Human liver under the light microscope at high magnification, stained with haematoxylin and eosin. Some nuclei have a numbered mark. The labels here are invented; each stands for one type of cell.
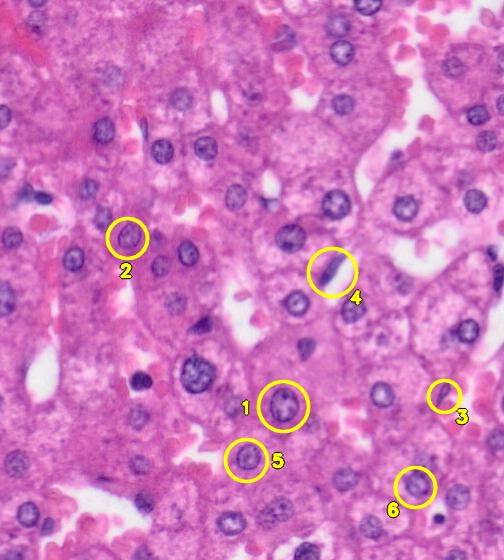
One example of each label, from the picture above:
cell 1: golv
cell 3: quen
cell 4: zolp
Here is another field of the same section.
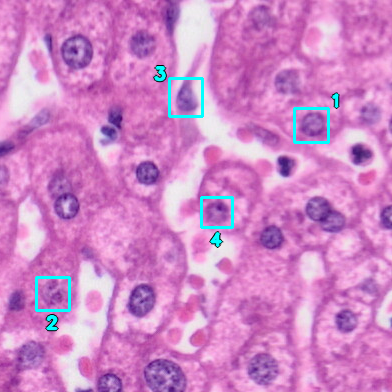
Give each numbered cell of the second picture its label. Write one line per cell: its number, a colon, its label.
1: golv
2: golv
3: zolp
4: golv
